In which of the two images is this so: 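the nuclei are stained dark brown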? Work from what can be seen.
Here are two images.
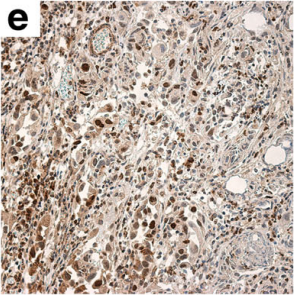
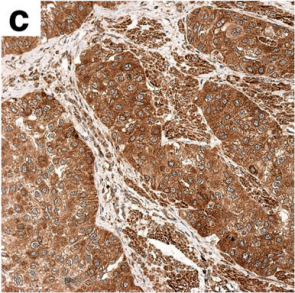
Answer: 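First image: many nuclei are dark brown, darker than the cytoplasm. Second image: nuclei are pale blue within brown cytoplasm. That points to this answer: the first image.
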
